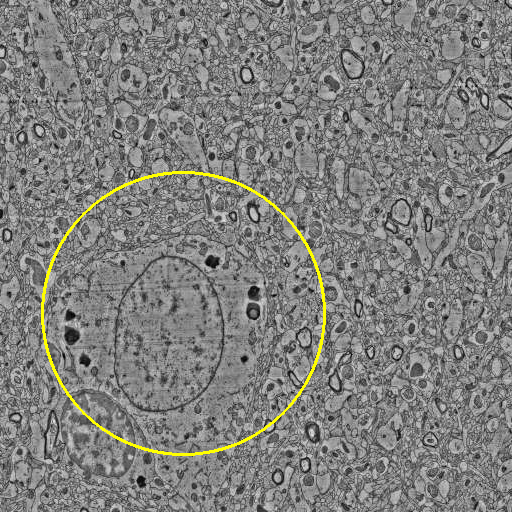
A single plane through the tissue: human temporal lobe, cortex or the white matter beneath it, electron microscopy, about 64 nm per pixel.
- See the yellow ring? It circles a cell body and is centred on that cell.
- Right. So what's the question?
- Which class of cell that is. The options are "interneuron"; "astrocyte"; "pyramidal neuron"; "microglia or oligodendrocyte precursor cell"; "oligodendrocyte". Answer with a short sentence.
The centre of the ring holds a pyramidal neuron.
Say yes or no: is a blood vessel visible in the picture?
No.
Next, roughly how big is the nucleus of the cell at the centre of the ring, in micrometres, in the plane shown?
The nucleus of the ringed cell is approximately 10 by 7 micrometres in this plane.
